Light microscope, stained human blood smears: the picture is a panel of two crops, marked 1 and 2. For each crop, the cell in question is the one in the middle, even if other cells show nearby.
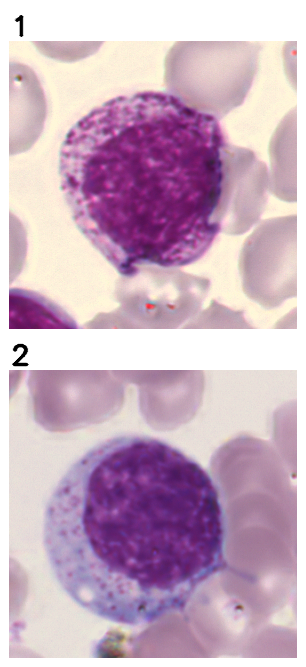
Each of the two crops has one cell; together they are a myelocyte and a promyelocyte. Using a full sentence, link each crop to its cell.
What crop 1 shows is a myelocyte, and what crop 2 shows is a promyelocyte.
